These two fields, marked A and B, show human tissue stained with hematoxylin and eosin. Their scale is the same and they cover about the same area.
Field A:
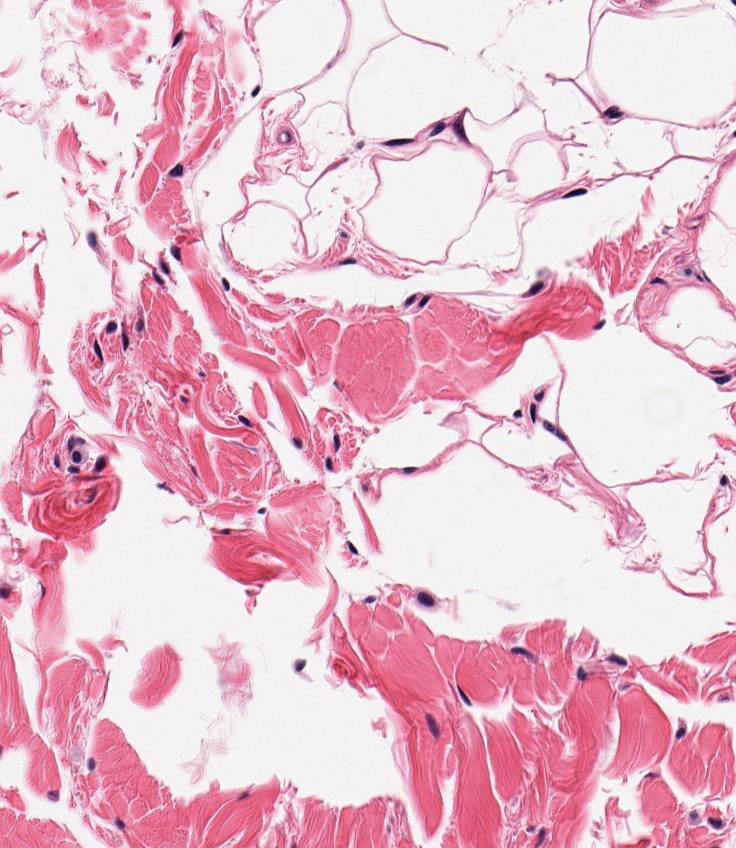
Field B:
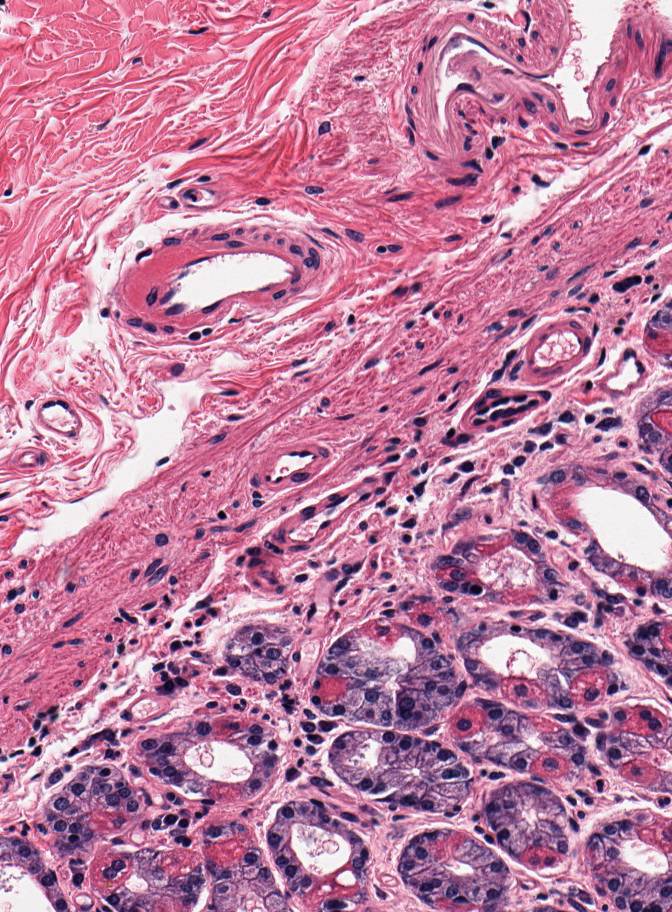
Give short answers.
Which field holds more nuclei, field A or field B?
B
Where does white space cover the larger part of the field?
A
